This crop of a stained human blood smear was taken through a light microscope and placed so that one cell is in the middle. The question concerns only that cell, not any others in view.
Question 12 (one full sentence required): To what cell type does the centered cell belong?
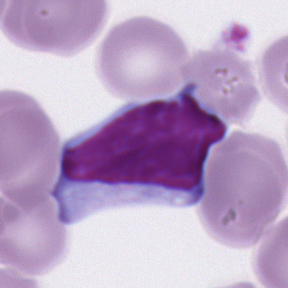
The centered cell in this crop is a lymphocyte.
